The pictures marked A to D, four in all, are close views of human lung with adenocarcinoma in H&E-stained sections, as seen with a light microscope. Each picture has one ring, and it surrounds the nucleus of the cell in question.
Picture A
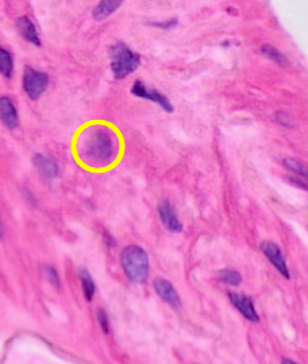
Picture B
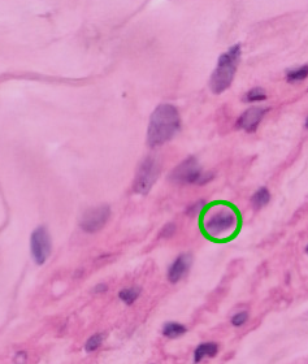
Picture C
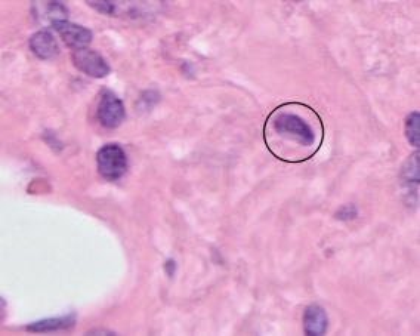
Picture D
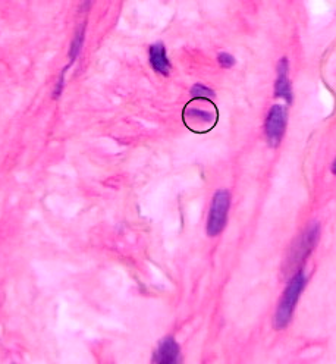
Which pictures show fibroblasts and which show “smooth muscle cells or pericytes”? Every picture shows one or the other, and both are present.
A: smooth muscle cell or pericyte
B: smooth muscle cell or pericyte
C: fibroblast
D: smooth muscle cell or pericyte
